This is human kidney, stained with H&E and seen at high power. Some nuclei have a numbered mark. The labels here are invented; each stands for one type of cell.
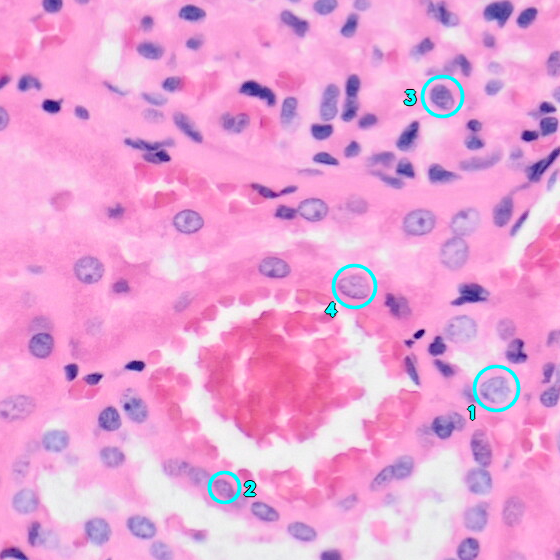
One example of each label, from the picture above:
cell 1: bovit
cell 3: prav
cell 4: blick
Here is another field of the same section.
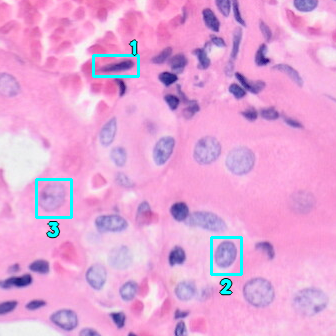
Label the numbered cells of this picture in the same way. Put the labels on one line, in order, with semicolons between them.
prav; bovit; blick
